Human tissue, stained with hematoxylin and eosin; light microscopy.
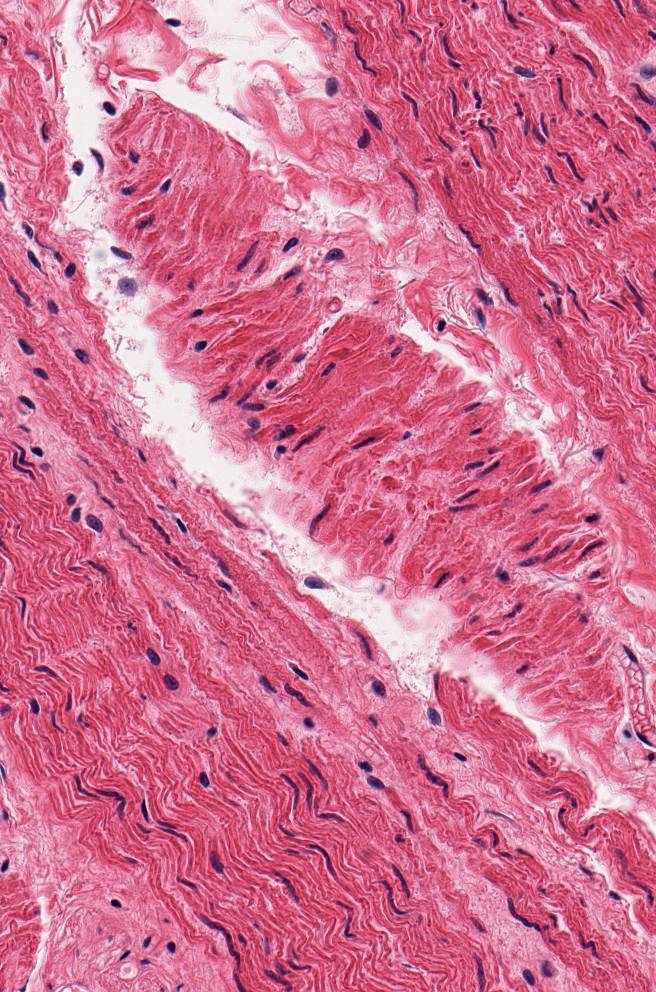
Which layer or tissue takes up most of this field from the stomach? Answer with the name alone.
smooth muscle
